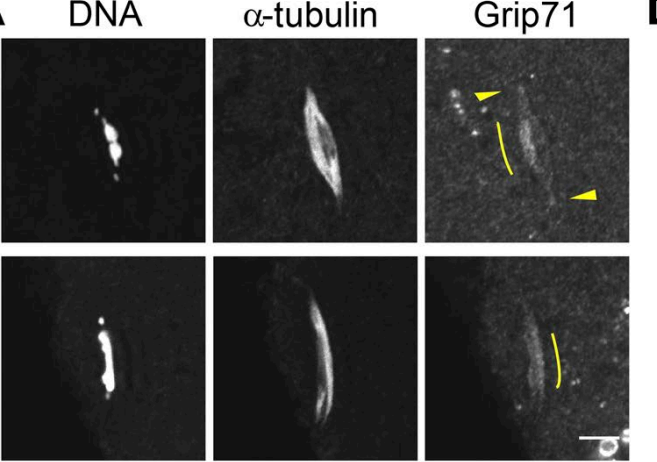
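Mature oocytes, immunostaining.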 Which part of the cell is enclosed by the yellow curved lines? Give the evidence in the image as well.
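Spindle equator. The curved lines lie alongside the middle of the spindle.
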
